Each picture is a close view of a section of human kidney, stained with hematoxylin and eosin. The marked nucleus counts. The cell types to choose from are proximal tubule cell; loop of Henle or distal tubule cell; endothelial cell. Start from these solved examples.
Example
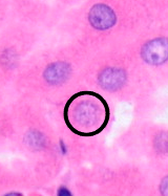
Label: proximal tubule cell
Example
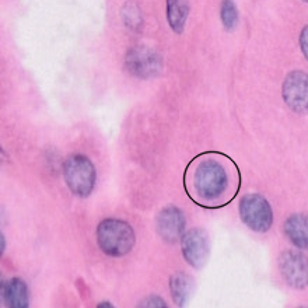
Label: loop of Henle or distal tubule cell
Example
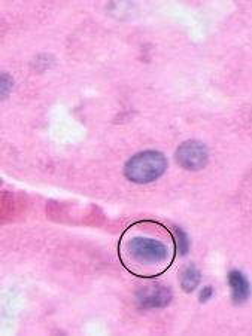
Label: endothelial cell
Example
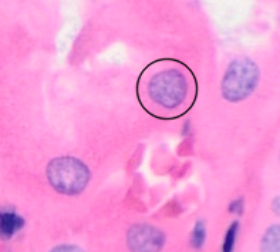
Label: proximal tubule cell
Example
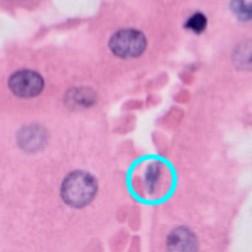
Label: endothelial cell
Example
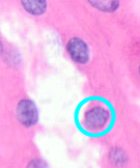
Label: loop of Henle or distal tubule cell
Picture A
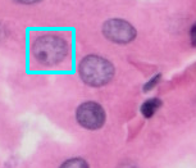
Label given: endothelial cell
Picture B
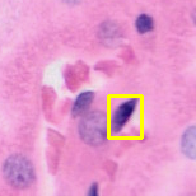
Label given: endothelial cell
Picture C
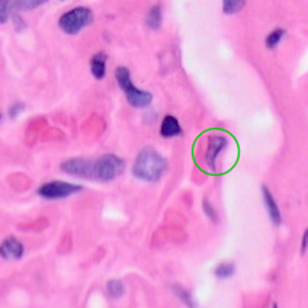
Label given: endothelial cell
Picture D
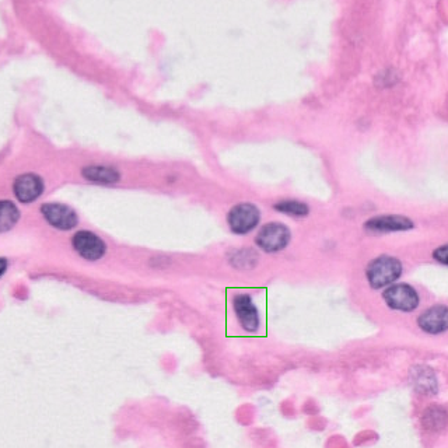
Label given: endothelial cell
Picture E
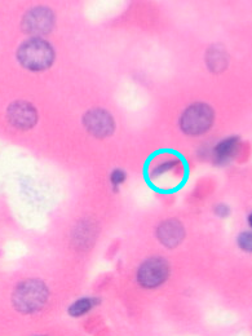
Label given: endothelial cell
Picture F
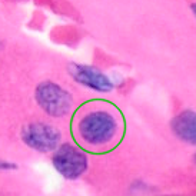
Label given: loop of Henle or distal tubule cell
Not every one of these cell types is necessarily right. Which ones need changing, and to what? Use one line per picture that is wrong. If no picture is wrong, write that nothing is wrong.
A: not endothelial cell but proximal tubule cell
